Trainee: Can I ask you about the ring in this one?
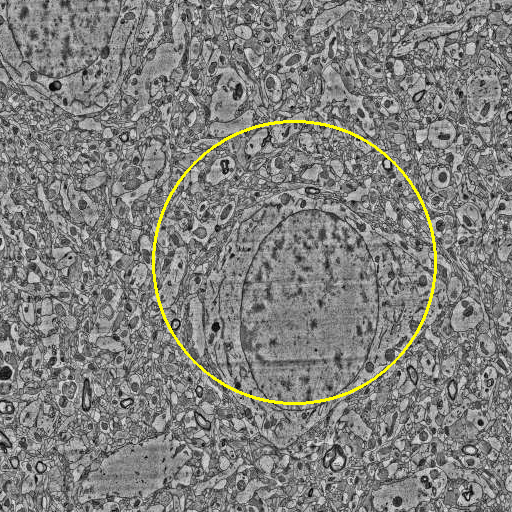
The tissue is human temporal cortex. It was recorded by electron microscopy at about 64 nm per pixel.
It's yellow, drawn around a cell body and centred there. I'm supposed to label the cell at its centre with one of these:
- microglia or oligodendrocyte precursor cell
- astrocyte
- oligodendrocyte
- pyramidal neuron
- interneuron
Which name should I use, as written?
pyramidal neuron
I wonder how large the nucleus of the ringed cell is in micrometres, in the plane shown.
About 13 by 9 micrometres in this plane.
